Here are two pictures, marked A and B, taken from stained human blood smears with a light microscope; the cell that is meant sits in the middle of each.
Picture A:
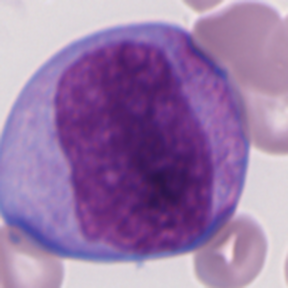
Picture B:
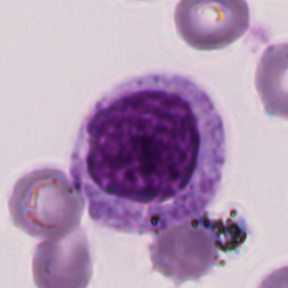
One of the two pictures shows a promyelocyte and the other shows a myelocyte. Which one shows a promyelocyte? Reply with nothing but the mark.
A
